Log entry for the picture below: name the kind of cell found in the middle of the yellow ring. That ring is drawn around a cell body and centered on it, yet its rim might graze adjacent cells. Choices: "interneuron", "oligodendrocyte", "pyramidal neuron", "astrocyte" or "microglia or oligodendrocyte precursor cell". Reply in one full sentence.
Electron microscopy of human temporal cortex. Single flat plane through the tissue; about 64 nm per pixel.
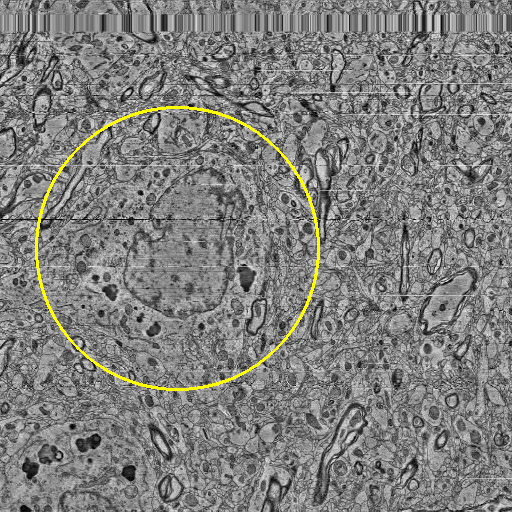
The cell in the middle of the yellow ring in this picture is an interneuron.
